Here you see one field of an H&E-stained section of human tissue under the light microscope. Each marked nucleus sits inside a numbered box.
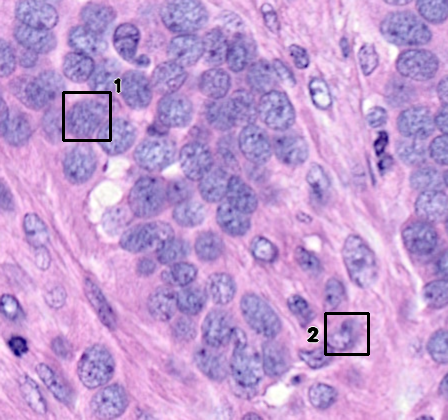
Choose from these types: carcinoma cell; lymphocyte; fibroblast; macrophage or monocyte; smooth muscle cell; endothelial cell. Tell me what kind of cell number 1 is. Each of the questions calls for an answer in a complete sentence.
The cell that bears the number 1 is a carcinoma cell.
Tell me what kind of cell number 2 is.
Regarding cell 2, this one is a fibroblast.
